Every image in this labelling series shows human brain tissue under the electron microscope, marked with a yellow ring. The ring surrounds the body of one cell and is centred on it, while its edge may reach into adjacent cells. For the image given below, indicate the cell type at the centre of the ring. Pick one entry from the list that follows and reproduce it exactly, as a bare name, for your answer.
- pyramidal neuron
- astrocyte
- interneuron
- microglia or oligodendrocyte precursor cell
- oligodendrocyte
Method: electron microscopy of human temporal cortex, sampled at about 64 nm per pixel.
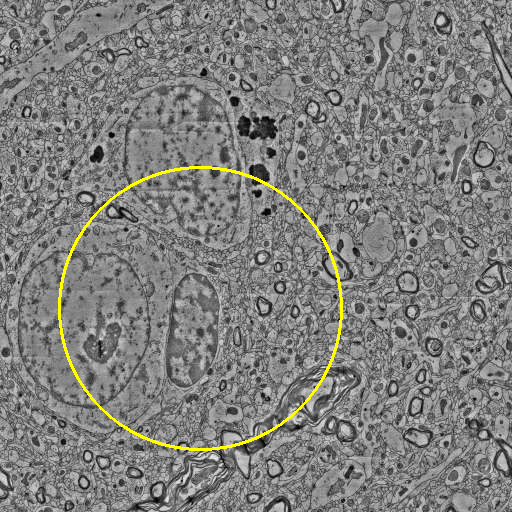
microglia or oligodendrocyte precursor cell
